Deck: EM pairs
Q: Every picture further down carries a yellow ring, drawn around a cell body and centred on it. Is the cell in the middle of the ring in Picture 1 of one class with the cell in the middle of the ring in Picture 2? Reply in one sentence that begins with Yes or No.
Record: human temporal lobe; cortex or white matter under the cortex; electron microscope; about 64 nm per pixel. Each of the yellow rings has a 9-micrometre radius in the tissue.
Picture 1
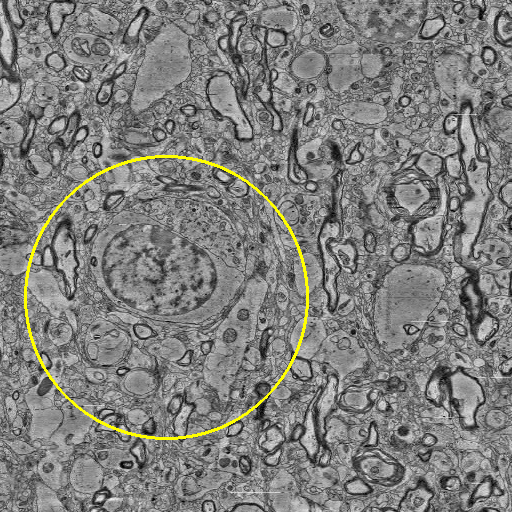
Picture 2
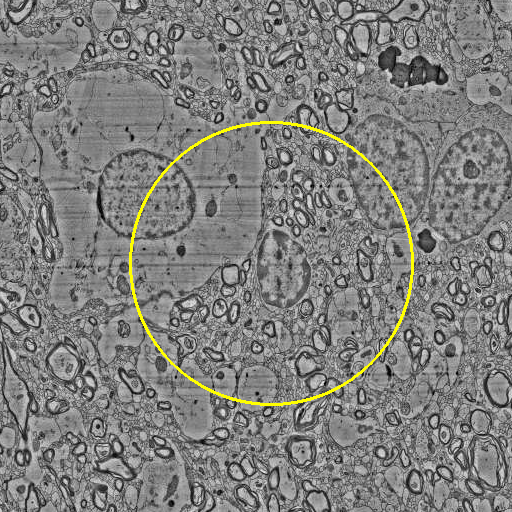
Yes, the cell centred in the ring of Picture 1 and the one in Picture 2 belong to one class.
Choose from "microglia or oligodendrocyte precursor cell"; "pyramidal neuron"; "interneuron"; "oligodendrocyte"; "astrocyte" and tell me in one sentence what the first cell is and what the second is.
The first and the second cell are each a microglial cell or oligodendrocyte precursor cell.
